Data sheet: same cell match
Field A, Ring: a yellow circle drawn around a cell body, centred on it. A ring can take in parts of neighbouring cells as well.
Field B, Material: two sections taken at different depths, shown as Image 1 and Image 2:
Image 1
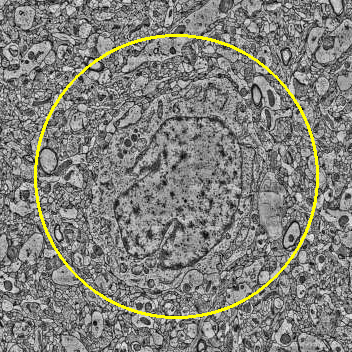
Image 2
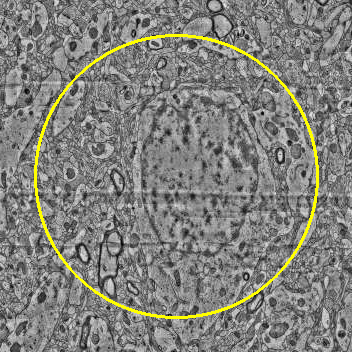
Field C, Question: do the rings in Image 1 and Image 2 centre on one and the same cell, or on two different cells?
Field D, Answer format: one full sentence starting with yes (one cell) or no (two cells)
No, the two yellow rings each circle a different cell.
